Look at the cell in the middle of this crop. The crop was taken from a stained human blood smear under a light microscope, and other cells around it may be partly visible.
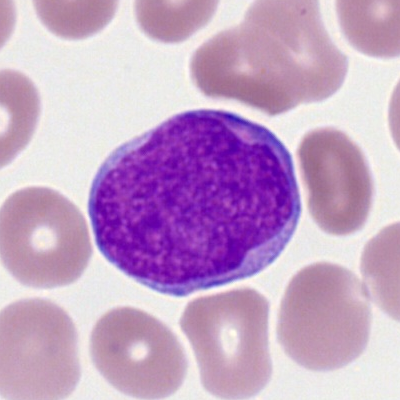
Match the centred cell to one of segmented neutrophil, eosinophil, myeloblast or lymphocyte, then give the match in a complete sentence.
At the crop's centre, the cell is a myeloblast.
